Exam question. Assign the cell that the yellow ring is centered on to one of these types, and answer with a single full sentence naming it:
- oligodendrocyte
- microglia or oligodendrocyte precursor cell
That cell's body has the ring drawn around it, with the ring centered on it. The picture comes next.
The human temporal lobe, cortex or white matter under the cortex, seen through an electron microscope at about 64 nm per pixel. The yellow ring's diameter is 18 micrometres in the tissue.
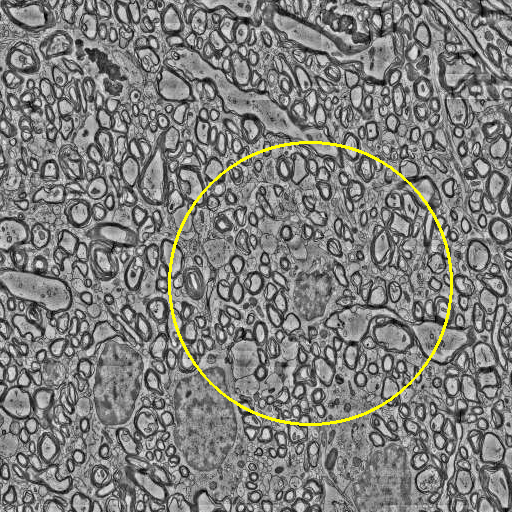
In the micrograph, the cell the yellow ring is centered on is an oligodendrocyte.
